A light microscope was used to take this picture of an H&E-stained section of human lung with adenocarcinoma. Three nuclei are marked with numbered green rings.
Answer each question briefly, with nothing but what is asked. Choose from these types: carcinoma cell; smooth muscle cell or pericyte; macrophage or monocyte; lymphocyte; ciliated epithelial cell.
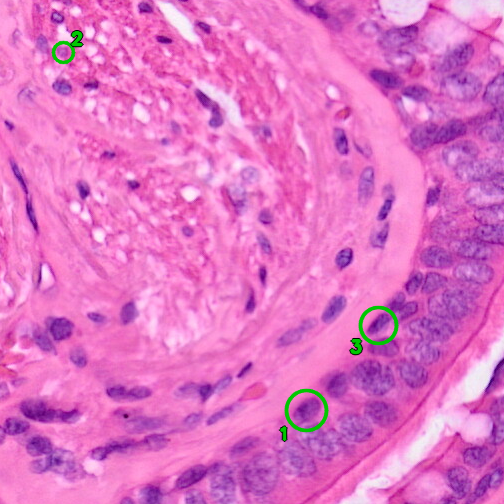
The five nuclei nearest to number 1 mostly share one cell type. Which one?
ciliated epithelial cell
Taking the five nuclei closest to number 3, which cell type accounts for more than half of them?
ciliated epithelial cell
